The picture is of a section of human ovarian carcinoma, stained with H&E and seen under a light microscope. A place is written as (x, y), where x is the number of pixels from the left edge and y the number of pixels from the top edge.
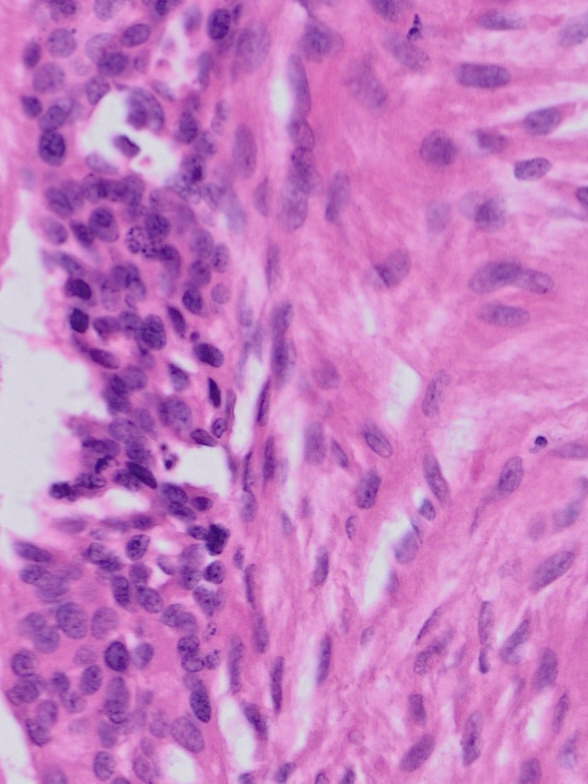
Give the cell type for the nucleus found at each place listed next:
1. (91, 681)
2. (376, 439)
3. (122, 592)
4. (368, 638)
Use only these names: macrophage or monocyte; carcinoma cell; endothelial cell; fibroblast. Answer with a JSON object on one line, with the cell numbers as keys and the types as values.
{"1": "carcinoma cell", "2": "fibroblast", "3": "carcinoma cell", "4": "fibroblast"}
